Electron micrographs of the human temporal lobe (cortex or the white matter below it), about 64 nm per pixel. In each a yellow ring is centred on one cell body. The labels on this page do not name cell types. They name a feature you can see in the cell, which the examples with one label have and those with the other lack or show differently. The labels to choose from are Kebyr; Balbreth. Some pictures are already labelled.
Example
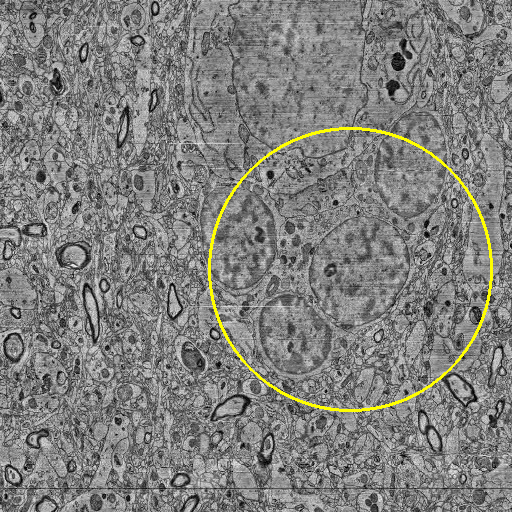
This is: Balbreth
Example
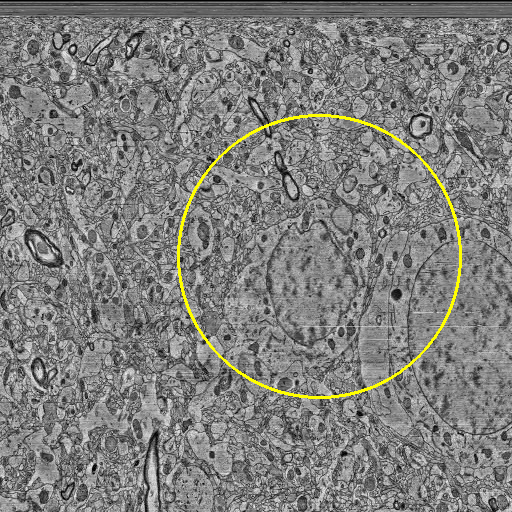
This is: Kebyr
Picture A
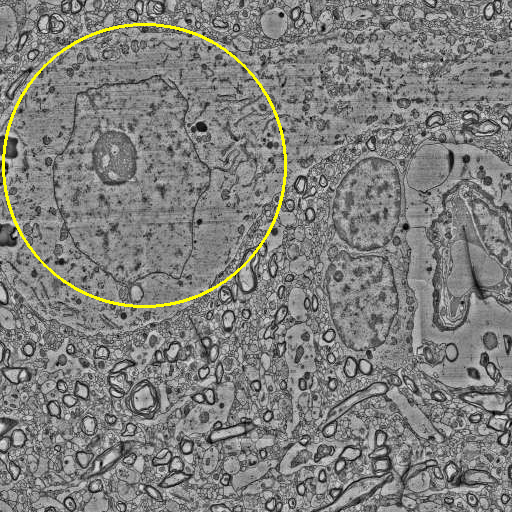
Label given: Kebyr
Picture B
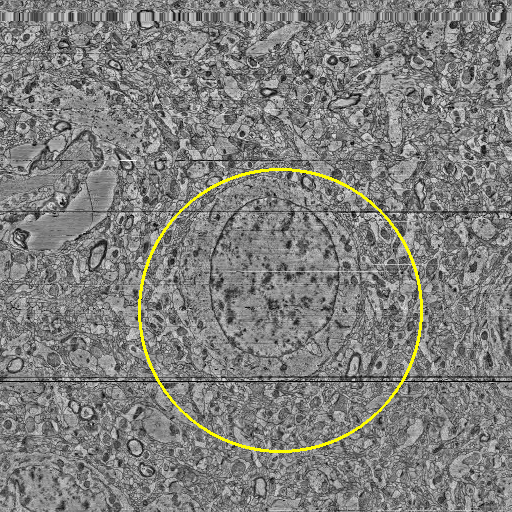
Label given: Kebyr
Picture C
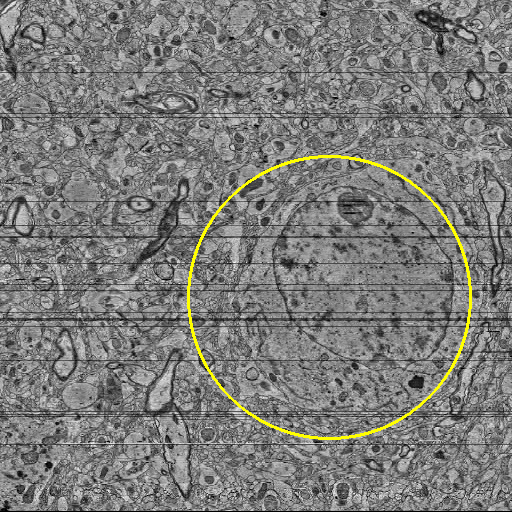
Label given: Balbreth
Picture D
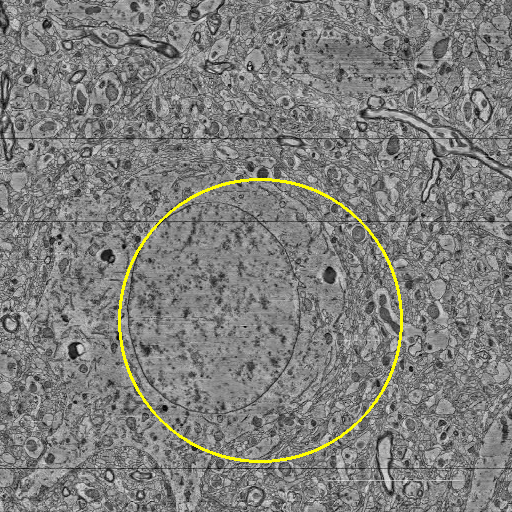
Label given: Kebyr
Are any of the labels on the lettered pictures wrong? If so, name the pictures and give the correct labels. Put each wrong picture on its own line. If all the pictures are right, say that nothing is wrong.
A should be Balbreth, not Kebyr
